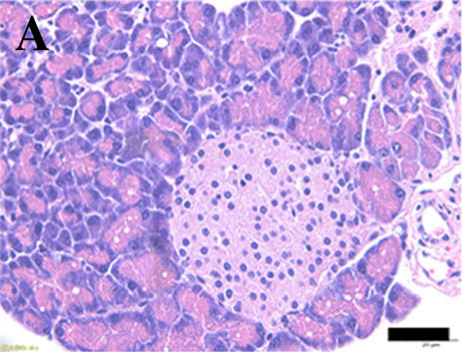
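This is a pancreatic islet, a rounded pale-pink cluster of endocrine cells lying among the exocrine acini. The islet cells have small round nuclei spread evenly through a lightly stained pink cytoplasm. The surrounding acinar cells stand out by their dense purple basal cytoplasm and pink granular apical cytoplasm.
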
